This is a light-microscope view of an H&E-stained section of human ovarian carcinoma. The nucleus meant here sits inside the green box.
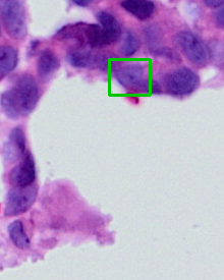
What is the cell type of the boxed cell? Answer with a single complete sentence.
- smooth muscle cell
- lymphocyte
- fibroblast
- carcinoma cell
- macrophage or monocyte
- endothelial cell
The boxed cell is a carcinoma cell.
